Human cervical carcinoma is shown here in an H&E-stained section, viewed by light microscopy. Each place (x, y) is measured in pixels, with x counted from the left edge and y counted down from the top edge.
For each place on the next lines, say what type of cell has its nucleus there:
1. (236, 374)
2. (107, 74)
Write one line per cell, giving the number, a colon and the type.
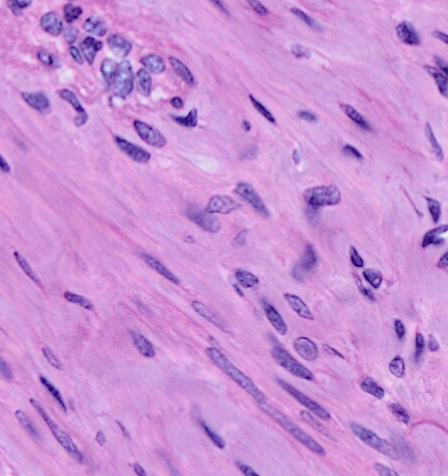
1: smooth muscle cell
2: endothelial cell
